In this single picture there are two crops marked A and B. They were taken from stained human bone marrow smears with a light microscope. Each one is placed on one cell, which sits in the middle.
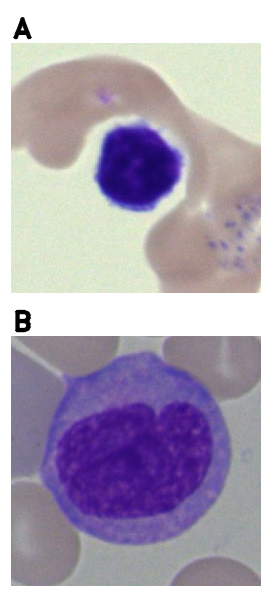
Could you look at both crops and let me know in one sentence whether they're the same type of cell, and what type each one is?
No, a monocyte is the cell in crop B, and crop A contains a lymphocyte.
